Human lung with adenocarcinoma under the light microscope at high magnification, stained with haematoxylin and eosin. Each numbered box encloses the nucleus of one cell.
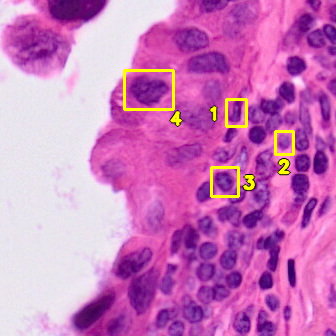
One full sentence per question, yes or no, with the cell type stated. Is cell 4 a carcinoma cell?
Yes, the cell at number 4 is a carcinoma cell.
